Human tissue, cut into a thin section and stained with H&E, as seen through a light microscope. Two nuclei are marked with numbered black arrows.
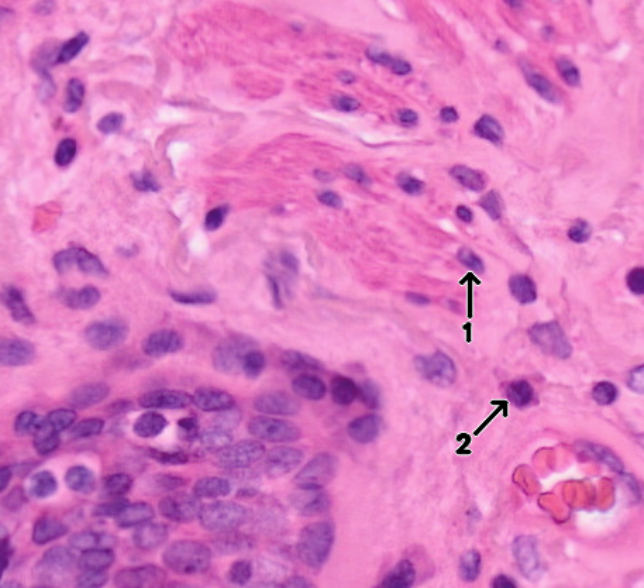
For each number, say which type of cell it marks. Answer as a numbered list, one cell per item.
1. smooth muscle cell or pericyte
2. plasma cell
